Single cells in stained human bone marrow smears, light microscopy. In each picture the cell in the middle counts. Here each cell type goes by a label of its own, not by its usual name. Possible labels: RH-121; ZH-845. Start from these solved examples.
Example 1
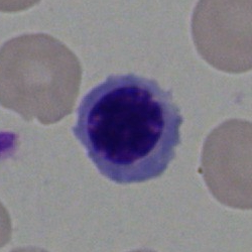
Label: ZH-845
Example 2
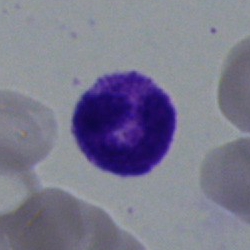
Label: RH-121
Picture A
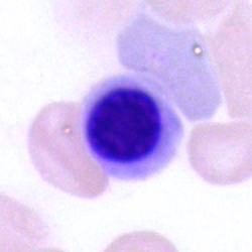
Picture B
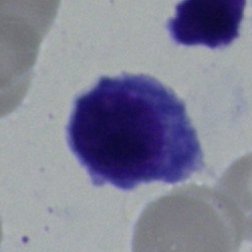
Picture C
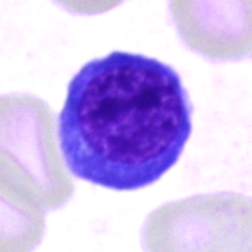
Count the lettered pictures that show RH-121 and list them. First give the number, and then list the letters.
0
